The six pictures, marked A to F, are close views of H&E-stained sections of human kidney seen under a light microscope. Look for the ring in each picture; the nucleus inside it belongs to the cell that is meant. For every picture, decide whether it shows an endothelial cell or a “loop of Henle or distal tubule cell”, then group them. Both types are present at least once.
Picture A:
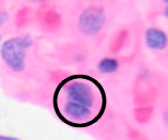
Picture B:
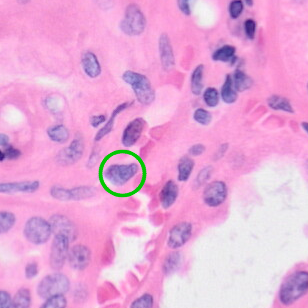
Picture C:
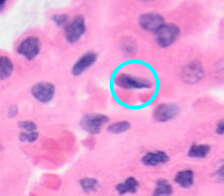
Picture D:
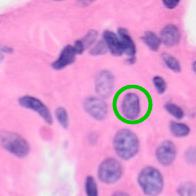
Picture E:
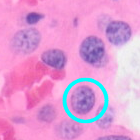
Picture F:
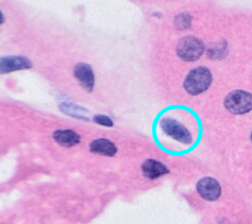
A: endothelial cell
B: endothelial cell
C: endothelial cell
D: loop of Henle or distal tubule cell
E: loop of Henle or distal tubule cell
F: endothelial cell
